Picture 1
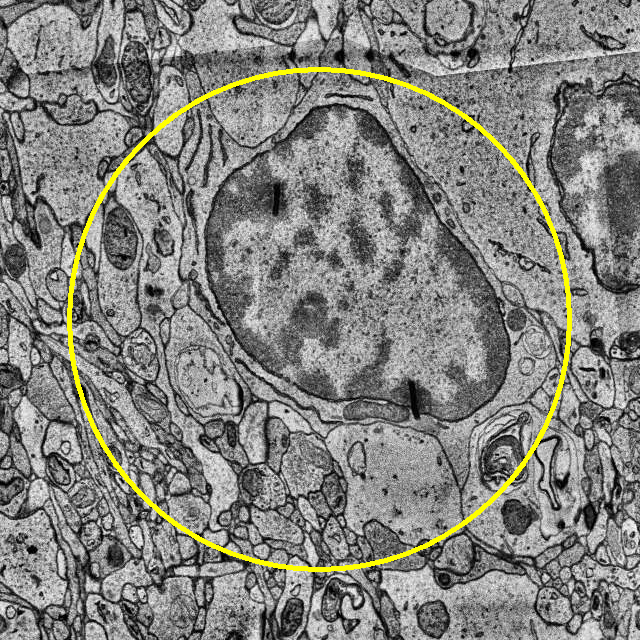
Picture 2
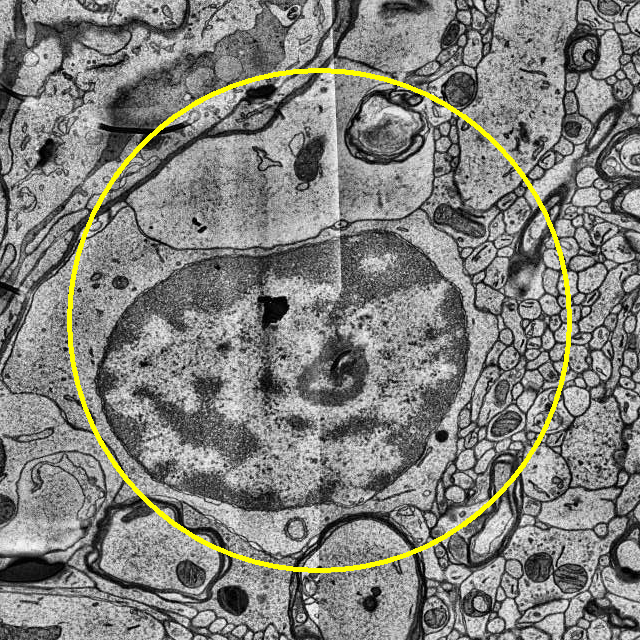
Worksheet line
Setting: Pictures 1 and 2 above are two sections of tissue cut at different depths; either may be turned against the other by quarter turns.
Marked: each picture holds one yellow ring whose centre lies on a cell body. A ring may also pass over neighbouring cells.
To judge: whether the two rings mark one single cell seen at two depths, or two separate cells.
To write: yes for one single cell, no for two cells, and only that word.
no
